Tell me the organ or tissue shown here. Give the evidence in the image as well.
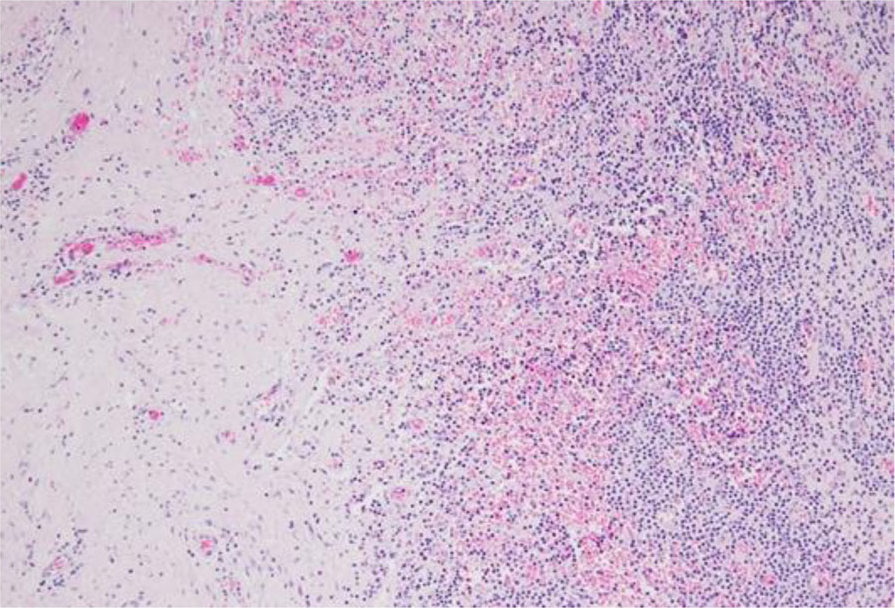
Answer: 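The left side is pale, loose stroma with scattered cells. Small vessels filled with red cells run through the loose stroma. The loose stroma grades into the dense cellular infiltrate.
Inflammatory granulation.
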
